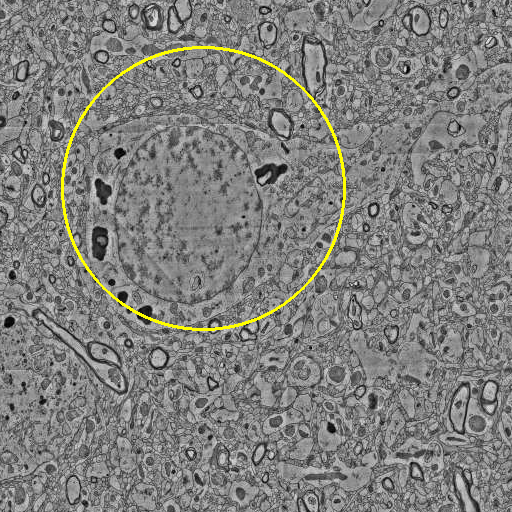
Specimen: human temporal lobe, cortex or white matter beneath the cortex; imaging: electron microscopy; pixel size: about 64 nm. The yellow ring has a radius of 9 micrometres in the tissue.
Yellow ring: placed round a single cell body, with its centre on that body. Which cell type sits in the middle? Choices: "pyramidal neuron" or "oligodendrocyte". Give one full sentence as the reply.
It is a pyramidal neuron whose cell body sits at the centre of the yellow ring.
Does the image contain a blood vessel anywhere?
No, no vessel shows anywhere in the image.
